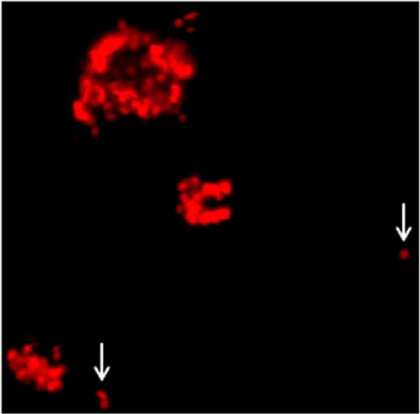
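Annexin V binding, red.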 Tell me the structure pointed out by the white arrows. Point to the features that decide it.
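The arrows point to tiny red dots. The dots are far smaller than the large red cell bodies nearby. The dots lie apart from the cells.
Hence: microparticles.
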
